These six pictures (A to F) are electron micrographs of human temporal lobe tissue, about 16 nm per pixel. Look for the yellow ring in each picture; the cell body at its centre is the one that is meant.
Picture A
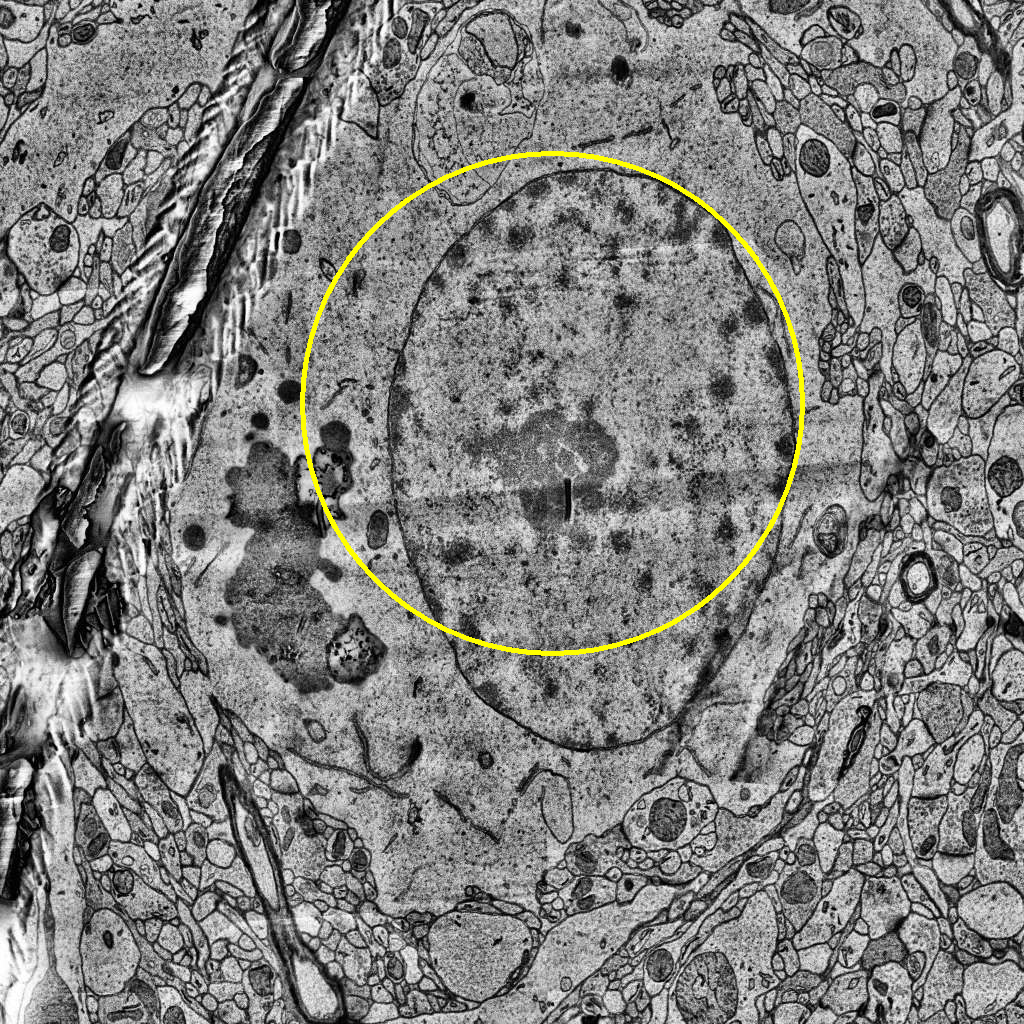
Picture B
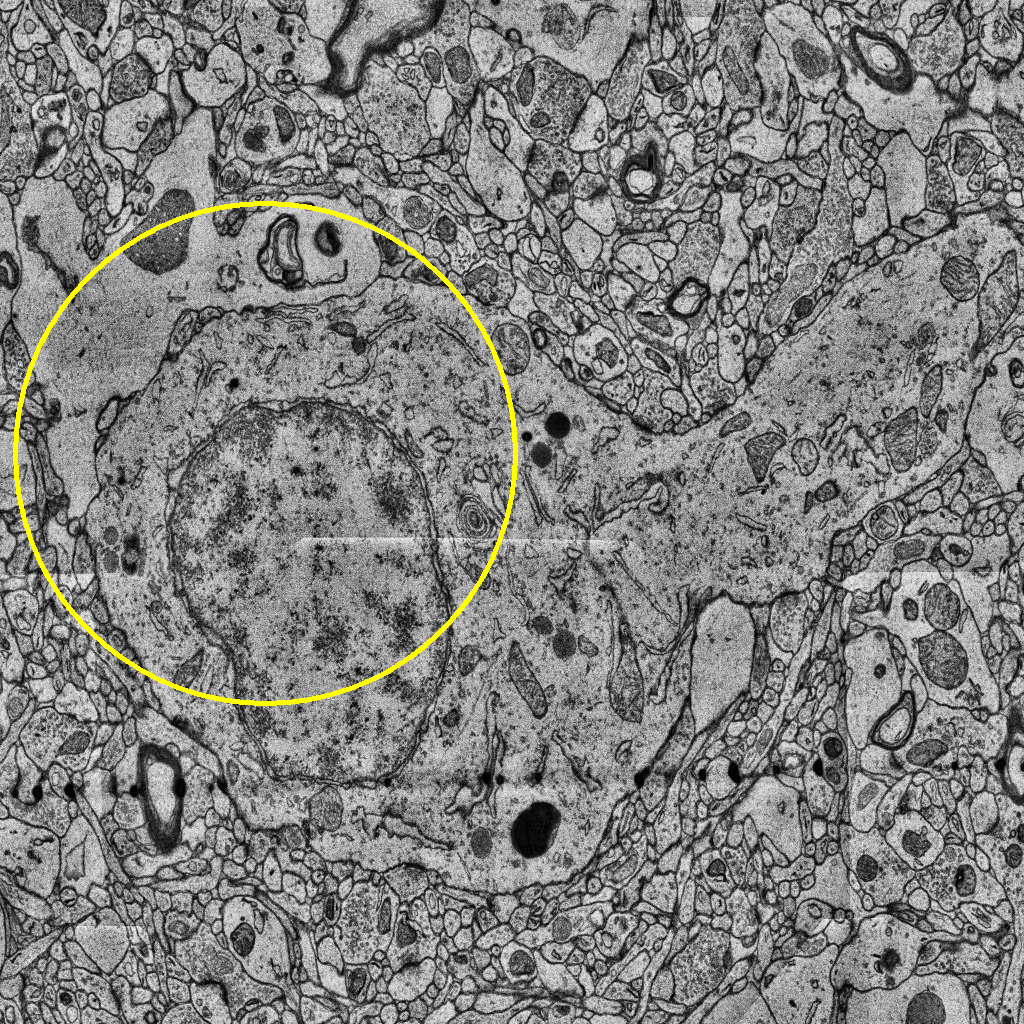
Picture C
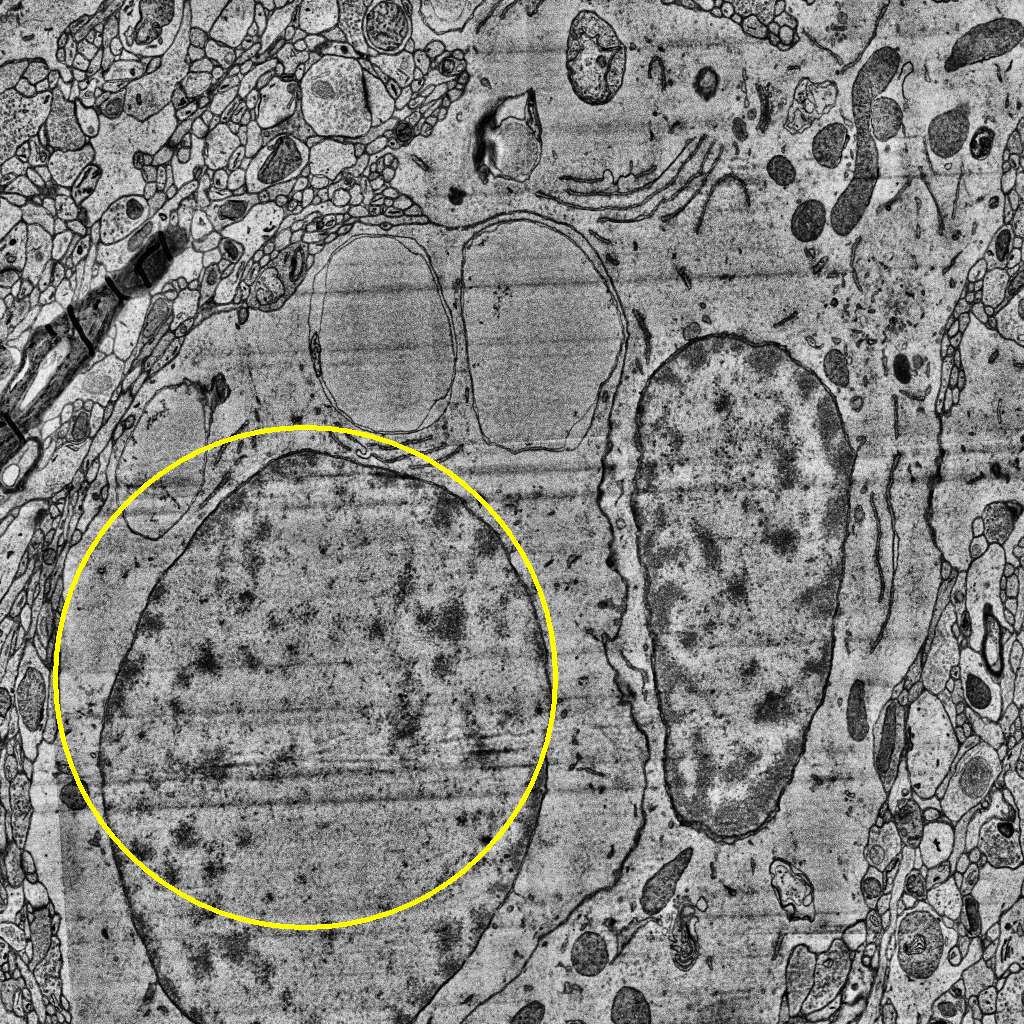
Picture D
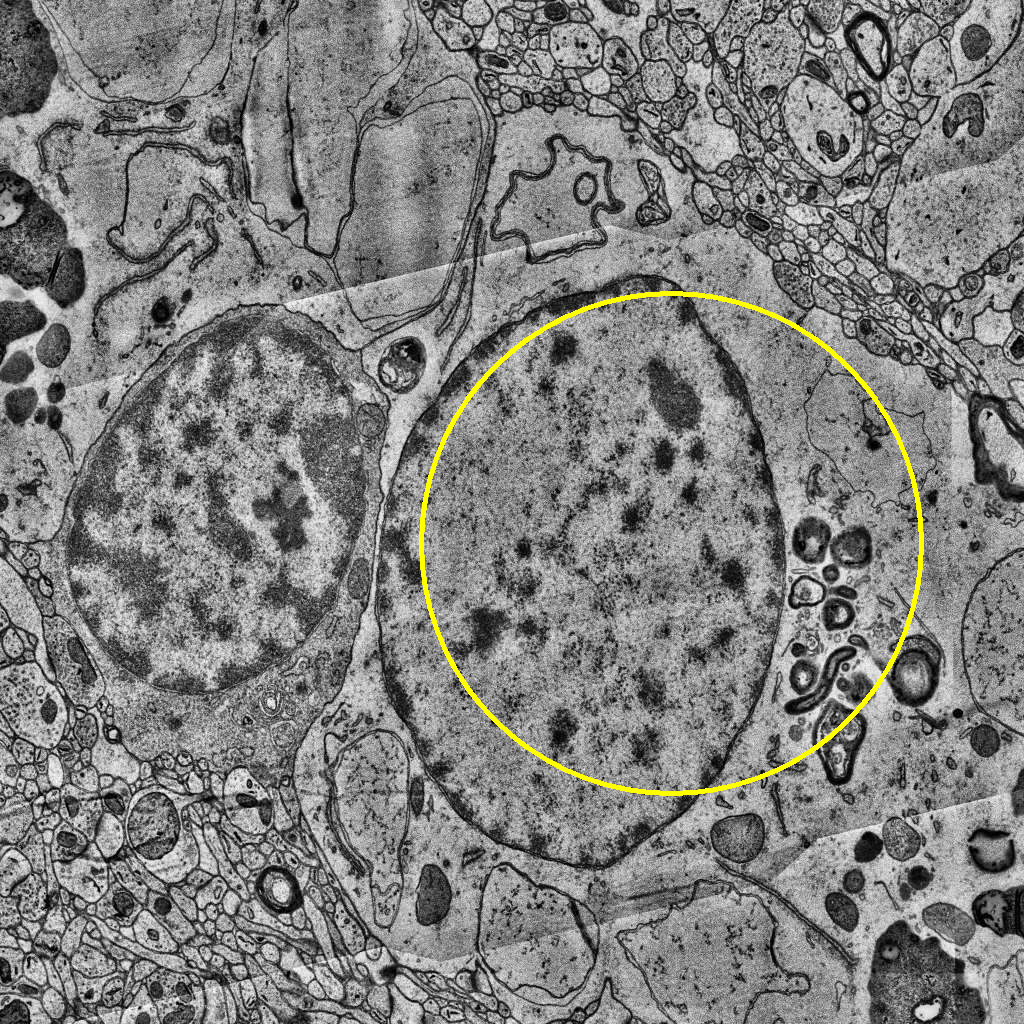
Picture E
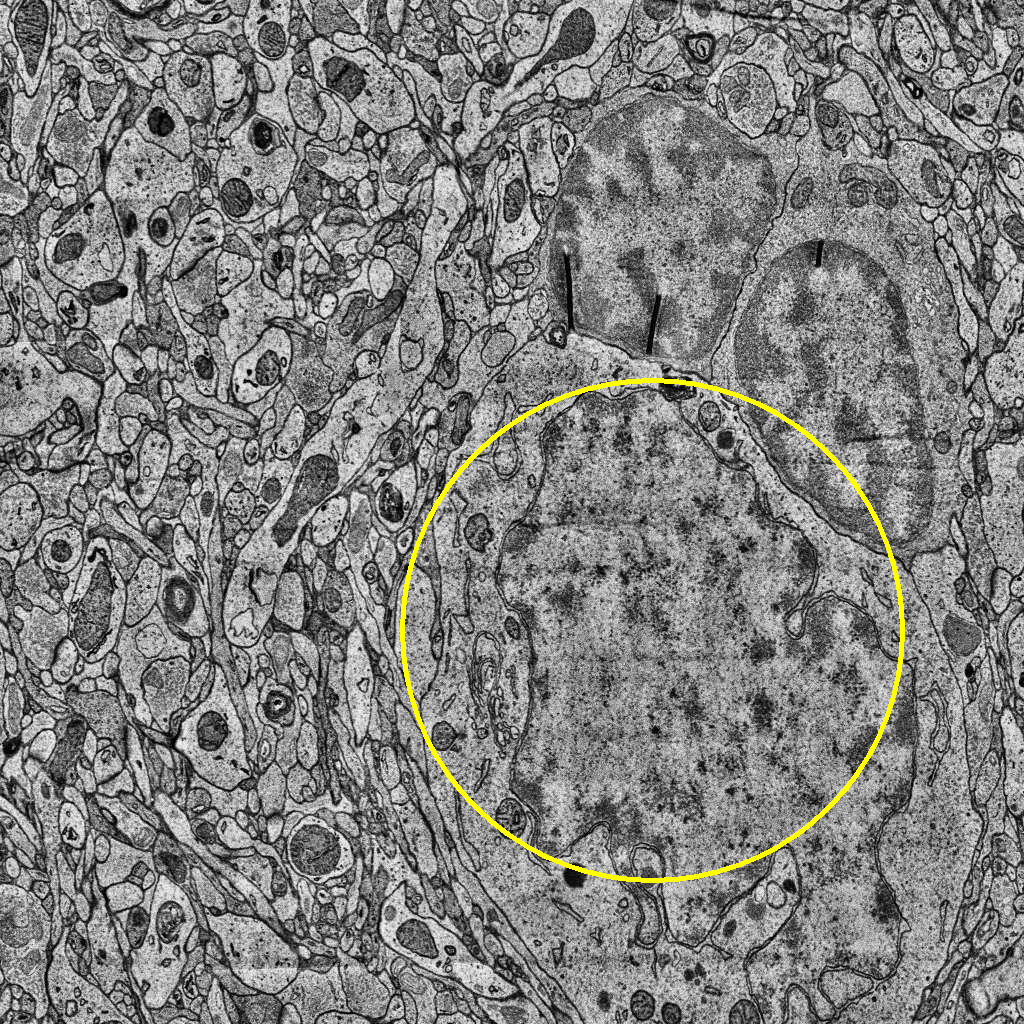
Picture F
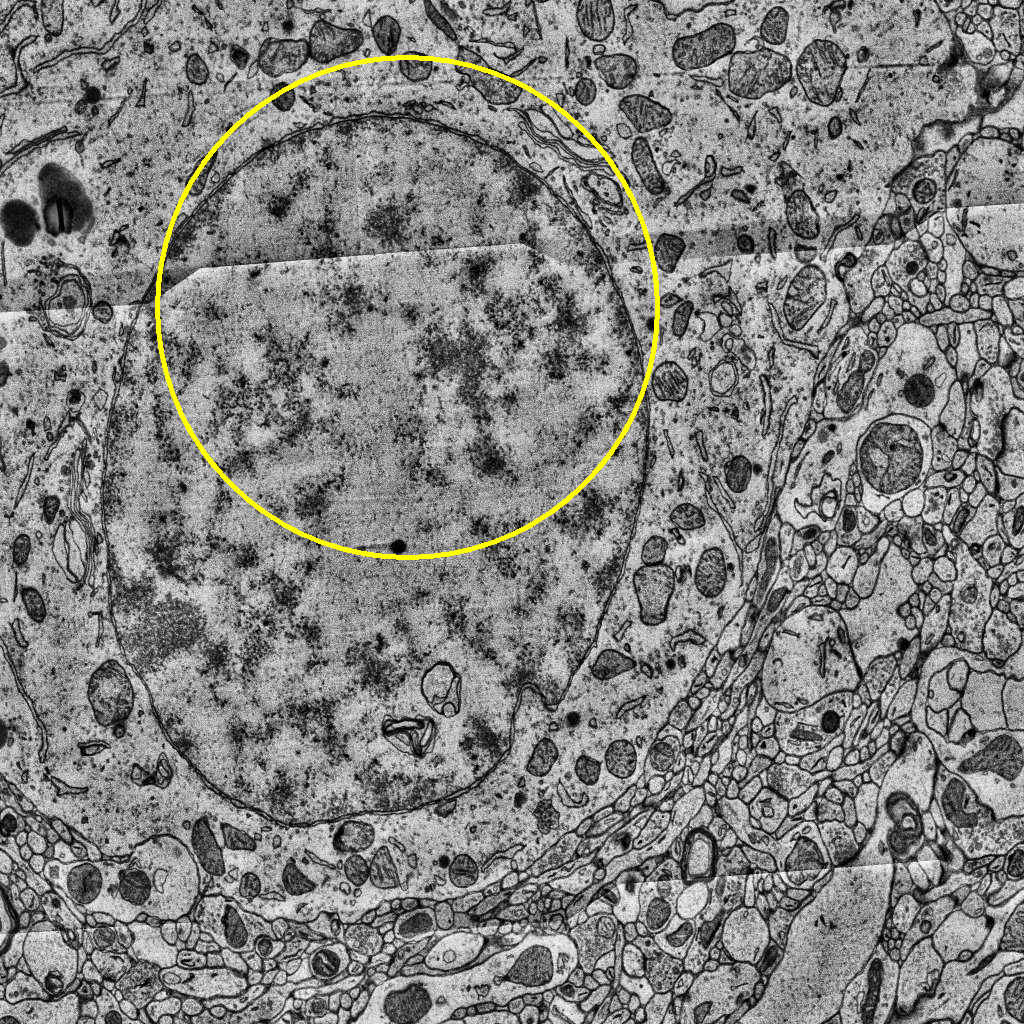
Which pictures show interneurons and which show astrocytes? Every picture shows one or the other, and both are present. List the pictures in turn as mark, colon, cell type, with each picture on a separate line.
A: astrocyte
B: interneuron
C: astrocyte
D: astrocyte
E: interneuron
F: interneuron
